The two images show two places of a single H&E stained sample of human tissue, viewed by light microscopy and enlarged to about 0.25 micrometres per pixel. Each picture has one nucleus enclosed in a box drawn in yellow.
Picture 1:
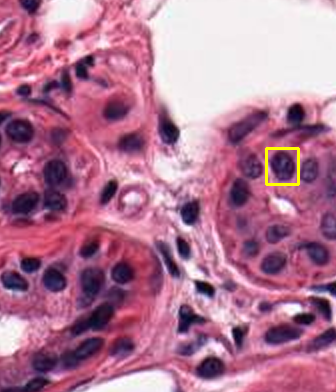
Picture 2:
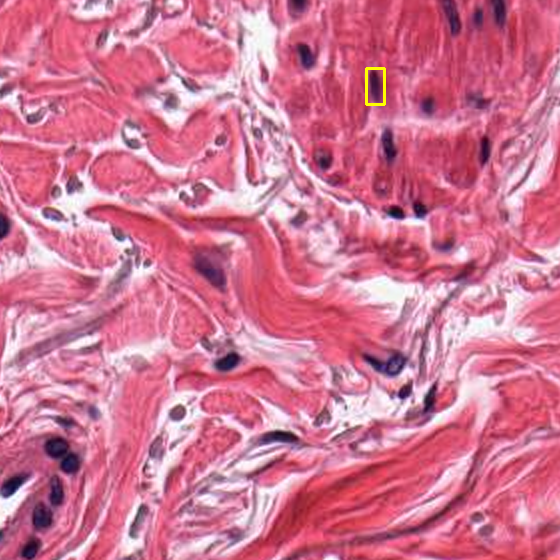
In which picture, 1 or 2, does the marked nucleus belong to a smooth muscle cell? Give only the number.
2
